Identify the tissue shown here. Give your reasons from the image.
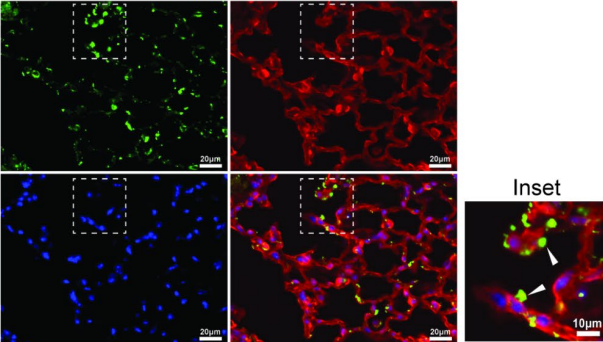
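Lung. Thin red-outlined walls form a network of polygonal empty spaces. Blue nuclei lie scattered within the thin walls. The spaces are large relative to the thin walls, like alveoli.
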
